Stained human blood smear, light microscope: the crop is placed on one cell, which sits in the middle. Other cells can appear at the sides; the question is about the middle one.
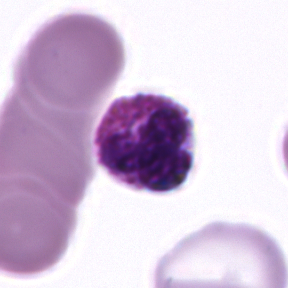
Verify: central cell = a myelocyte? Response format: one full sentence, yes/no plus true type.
No, the central cell is not a myelocyte; it is an eosinophil instead.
